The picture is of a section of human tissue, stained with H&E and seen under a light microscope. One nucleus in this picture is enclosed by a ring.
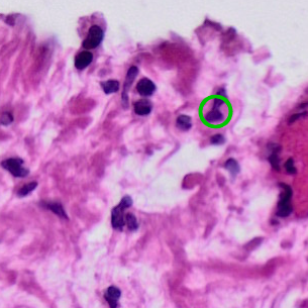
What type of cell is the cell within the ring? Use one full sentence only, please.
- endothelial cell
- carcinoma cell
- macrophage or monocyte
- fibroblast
The identity of the cell within the ring: it is a macrophage or monocyte.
